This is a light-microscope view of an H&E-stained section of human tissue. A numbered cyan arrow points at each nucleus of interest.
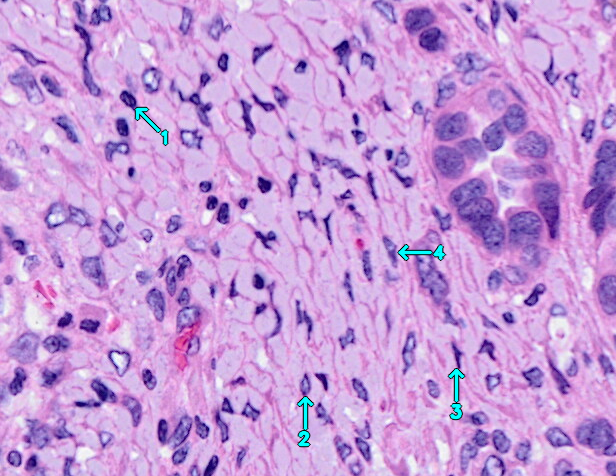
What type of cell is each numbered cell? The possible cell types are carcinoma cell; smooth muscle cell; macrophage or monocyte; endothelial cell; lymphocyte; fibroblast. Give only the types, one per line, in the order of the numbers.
lymphocyte
fibroblast
fibroblast
fibroblast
